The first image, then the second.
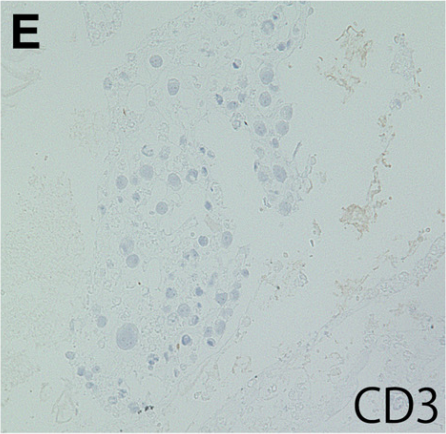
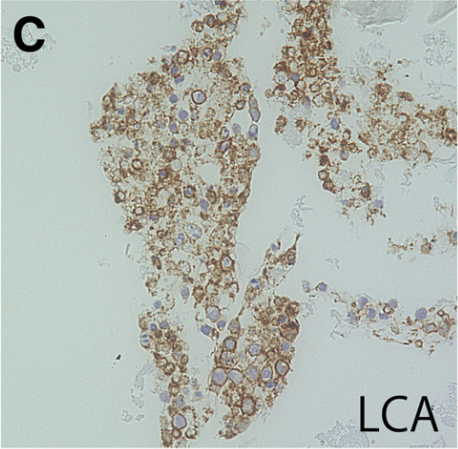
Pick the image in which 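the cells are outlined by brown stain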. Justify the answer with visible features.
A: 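First image: the rounded cells show only pale blue nuclei with no brown stain. Second image: most rounded cells are rimmed by brown stain.
Answer: the second image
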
